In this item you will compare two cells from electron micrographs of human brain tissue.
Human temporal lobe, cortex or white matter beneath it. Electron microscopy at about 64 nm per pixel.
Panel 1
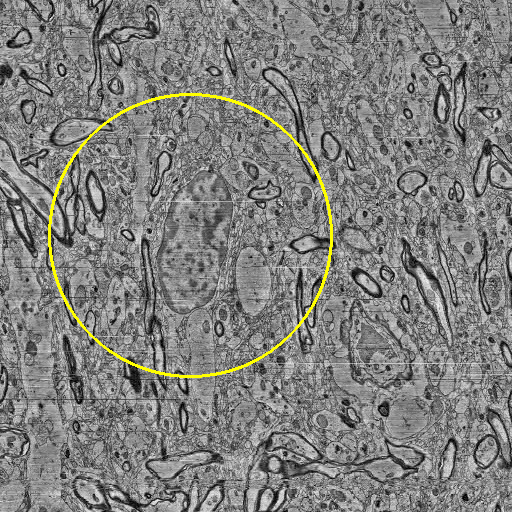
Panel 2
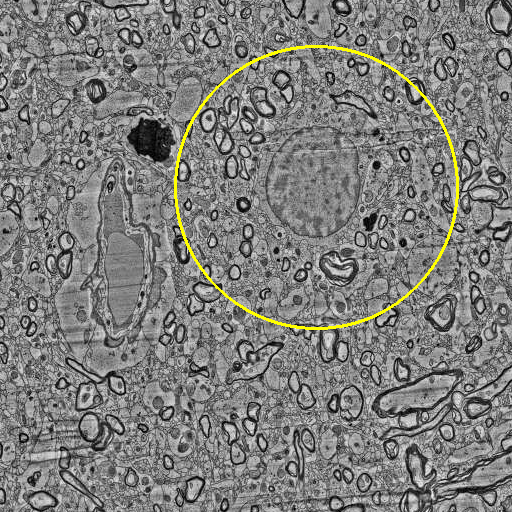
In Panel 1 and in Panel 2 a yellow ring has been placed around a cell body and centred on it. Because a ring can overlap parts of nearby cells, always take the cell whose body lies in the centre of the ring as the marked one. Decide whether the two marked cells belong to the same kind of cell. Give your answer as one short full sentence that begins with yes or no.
No, the two marked cells belong to two kinds of cell.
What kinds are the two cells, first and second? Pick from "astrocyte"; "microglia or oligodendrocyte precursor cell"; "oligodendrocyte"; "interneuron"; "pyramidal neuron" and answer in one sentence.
The second picture holds an oligodendrocyte in its ring, and the first holds a microglial cell or oligodendrocyte precursor cell.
